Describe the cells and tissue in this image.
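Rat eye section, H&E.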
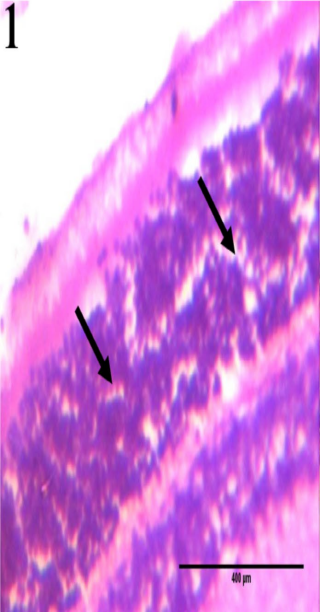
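This is a section of retina in which the cells are crowded together in layers of closely packed, dark purple-staining nuclei. The purple nuclear bands run in parallel and are separated from one another by thin pink-staining layers. A further pale pink, finely striated layer lies along one edge of the tissue.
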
